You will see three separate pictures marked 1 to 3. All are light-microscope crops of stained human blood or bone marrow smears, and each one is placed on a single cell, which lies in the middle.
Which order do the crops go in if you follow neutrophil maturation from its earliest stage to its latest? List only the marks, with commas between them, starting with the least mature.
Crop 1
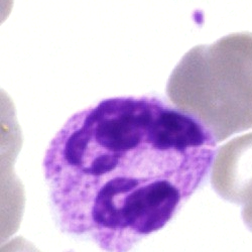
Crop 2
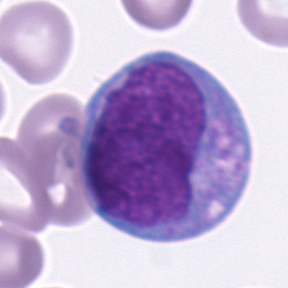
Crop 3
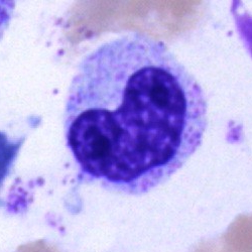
2, 3, 1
